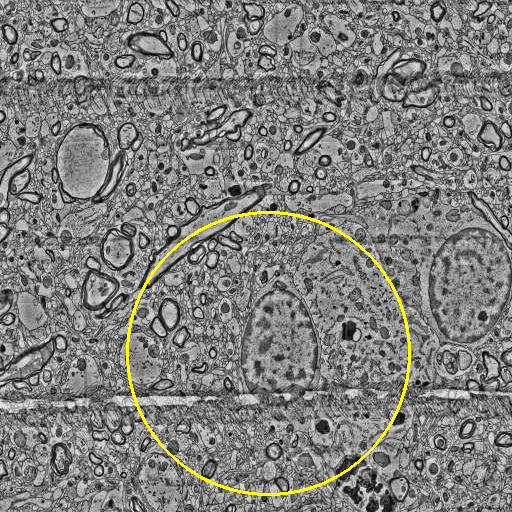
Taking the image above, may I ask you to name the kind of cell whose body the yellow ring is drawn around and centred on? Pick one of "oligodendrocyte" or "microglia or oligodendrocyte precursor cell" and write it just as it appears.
oligodendrocyte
